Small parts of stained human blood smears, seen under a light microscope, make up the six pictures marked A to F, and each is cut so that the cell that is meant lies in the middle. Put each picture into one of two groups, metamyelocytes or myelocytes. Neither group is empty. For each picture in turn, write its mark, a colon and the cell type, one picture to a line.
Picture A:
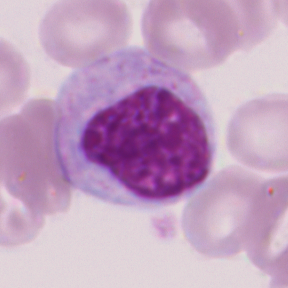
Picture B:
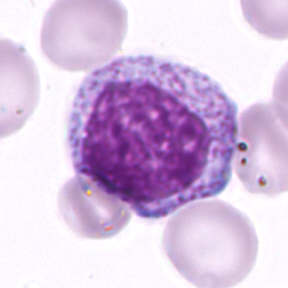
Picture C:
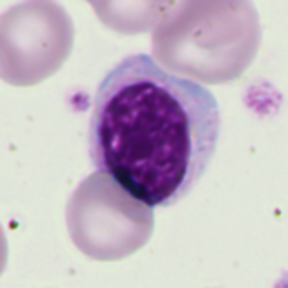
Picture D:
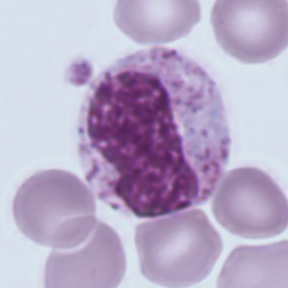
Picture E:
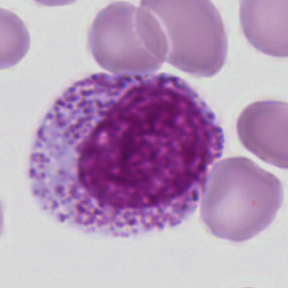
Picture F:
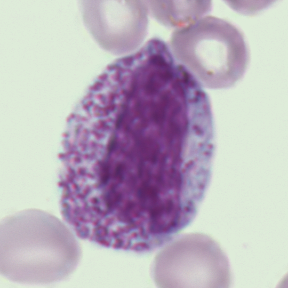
A: metamyelocyte
B: myelocyte
C: metamyelocyte
D: metamyelocyte
E: myelocyte
F: myelocyte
